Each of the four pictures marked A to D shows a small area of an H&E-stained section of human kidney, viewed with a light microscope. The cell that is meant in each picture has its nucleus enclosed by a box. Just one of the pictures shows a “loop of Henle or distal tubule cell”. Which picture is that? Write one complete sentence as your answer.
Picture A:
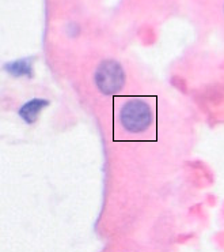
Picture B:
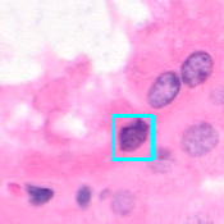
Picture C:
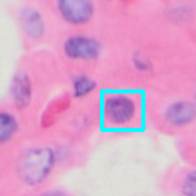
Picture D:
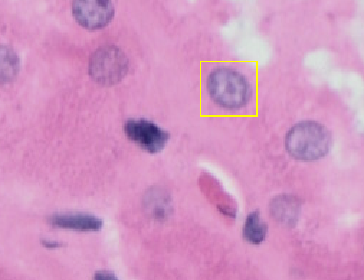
The “loop of Henle or distal tubule cell” is the one in picture C.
